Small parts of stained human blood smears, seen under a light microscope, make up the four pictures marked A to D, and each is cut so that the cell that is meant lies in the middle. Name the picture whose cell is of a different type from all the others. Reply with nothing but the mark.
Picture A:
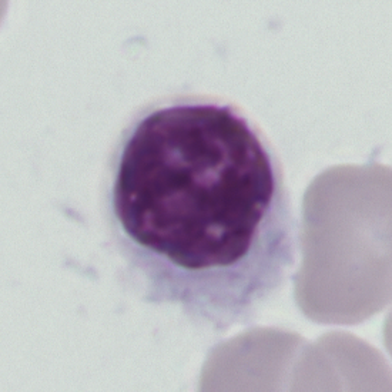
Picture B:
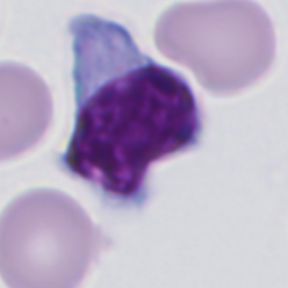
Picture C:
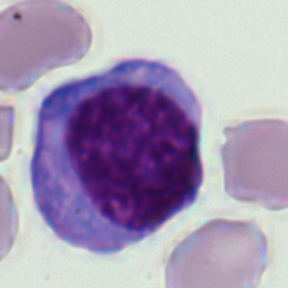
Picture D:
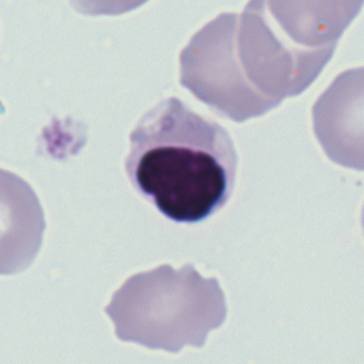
D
